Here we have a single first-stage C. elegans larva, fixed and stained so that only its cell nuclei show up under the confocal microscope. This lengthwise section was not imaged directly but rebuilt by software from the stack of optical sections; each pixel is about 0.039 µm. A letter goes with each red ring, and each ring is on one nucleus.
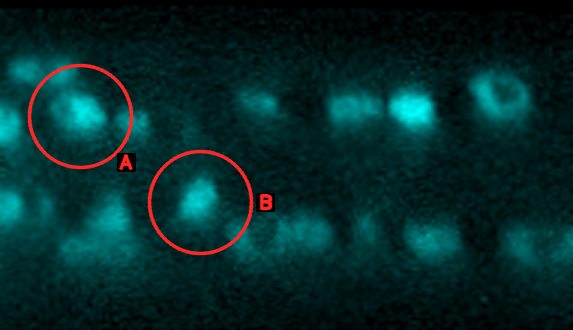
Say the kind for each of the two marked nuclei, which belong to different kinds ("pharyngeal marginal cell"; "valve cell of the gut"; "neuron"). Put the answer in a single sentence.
B belongs to a valve cell of the gut, and A to a pharyngeal marginal cell.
